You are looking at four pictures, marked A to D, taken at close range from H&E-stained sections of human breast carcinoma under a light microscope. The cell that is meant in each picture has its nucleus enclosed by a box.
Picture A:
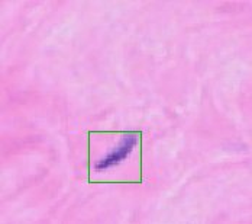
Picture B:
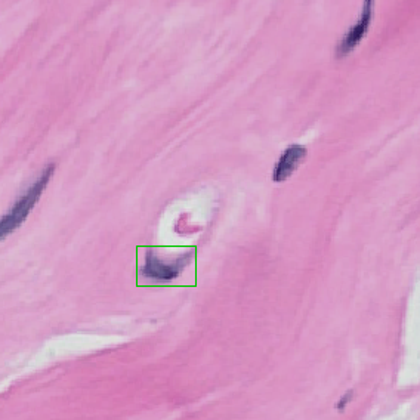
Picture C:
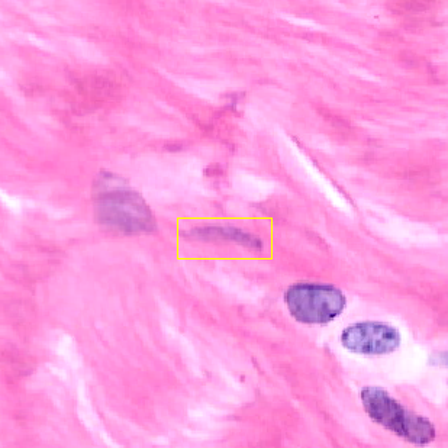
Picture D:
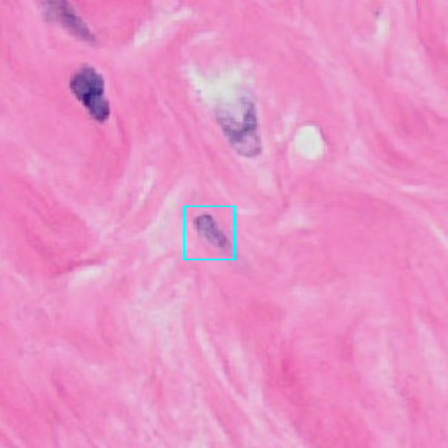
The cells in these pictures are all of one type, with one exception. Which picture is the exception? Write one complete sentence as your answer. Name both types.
Picture B differs, because its cell is an endothelial cell and the rest are fibroblasts.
